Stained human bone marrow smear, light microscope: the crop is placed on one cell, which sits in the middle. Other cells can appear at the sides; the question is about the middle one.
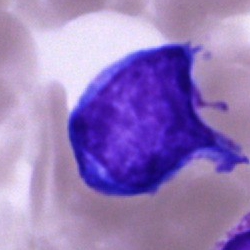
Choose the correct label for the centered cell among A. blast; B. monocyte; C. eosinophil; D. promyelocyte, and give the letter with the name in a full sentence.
The cell shown centrally is a blast; option A is the correct option.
